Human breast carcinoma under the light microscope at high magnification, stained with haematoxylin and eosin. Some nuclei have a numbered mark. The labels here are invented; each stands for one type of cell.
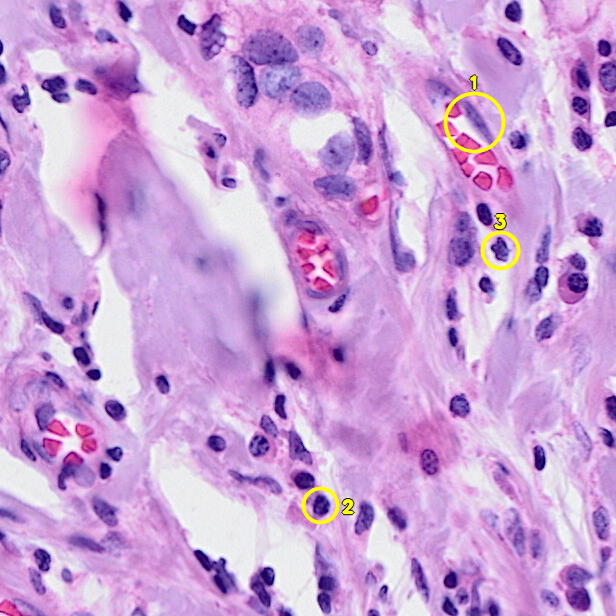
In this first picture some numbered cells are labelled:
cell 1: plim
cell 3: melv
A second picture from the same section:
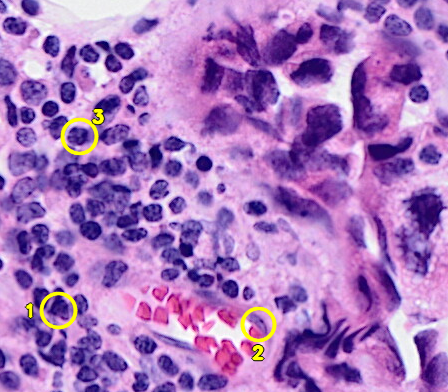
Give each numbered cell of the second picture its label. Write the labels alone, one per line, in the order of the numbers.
melv
plim
melv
